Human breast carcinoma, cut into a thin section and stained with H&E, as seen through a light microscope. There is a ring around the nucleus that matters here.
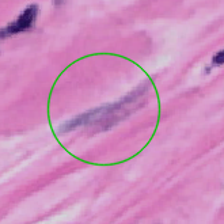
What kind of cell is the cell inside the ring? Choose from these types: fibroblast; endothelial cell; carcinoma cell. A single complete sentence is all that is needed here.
In the stained section, the cell inside the ring is a fibroblast.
